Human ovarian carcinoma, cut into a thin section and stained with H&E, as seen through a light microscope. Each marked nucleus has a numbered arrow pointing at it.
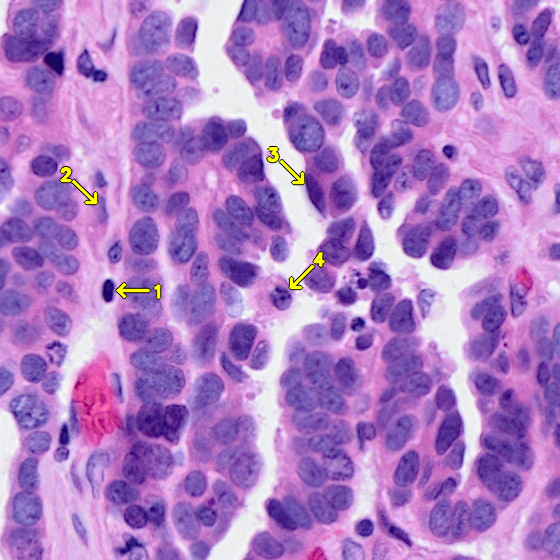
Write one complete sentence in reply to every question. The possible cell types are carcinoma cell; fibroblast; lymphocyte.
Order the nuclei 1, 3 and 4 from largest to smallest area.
Largest first, the order by area is 3, 4, 1.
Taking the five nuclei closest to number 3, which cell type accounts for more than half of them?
Carcinoma cells make up most of the five nuclei closest to number 3.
